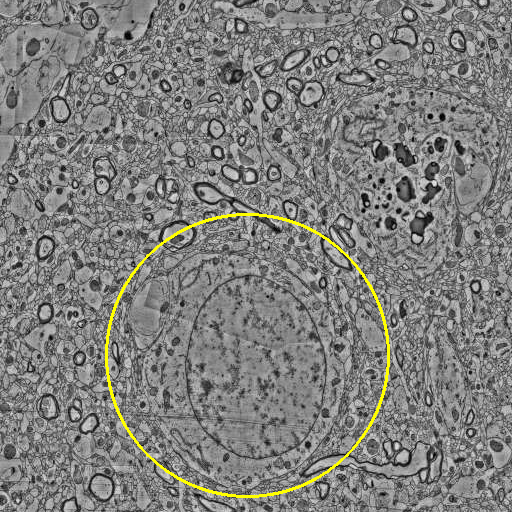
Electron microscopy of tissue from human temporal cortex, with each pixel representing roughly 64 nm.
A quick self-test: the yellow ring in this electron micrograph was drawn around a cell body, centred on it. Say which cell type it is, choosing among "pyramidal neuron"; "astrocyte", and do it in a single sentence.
The yellow-ringed cell is a pyramidal neuron.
